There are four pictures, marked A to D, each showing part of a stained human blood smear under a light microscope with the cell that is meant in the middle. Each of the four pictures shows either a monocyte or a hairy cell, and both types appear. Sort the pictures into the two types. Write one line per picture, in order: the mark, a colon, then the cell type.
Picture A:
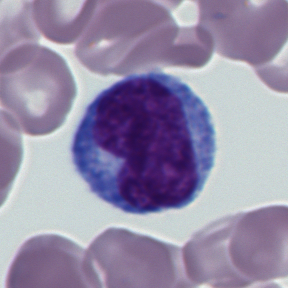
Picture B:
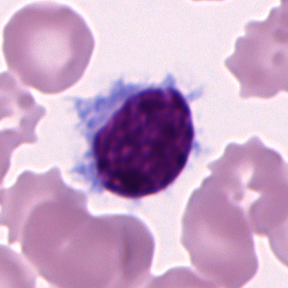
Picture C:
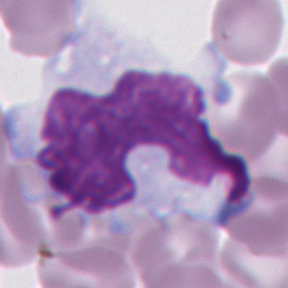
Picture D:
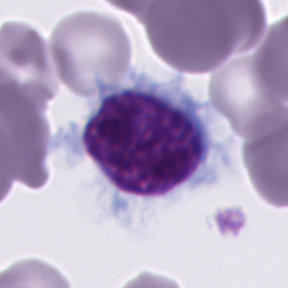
A: monocyte
B: hairy cell
C: monocyte
D: hairy cell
